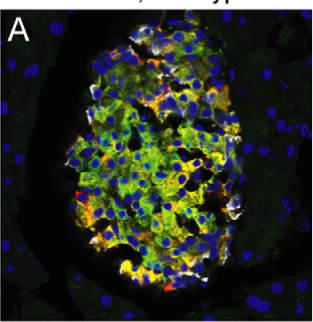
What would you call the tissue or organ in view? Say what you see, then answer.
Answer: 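A compact oval cluster of stained endocrine cells sits among unstained surrounding tissue. Blue nuclei fill the cluster at close spacing. That points to this answer: islets.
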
